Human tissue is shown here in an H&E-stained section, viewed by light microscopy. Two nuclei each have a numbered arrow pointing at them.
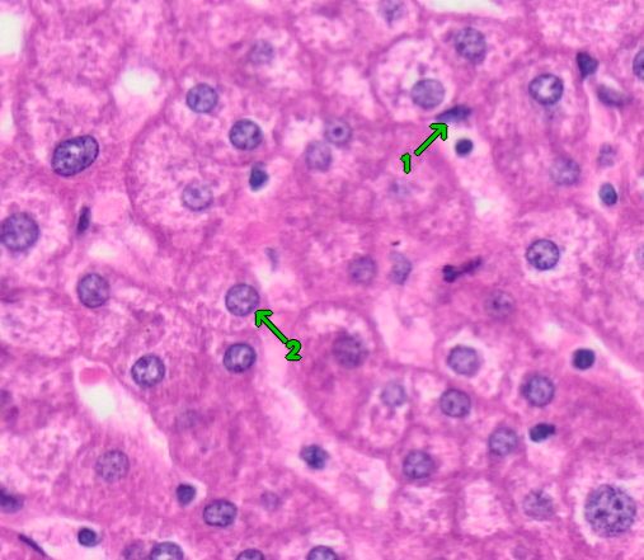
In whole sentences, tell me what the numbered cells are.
Cell 1 is an endothelial cell and cell 2 is a hepatocyte.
